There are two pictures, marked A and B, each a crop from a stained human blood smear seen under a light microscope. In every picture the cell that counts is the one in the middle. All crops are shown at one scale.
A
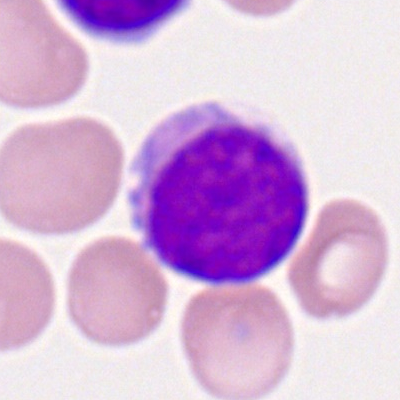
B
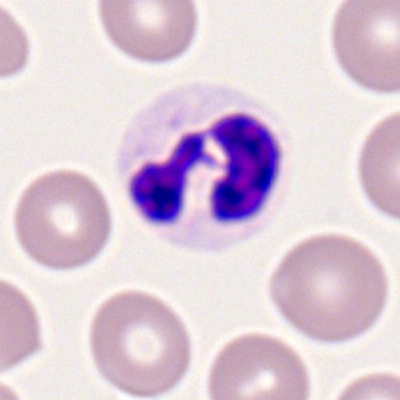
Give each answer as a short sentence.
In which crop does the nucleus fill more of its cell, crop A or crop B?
The nucleus fills more of the cell in crop A than in crop B.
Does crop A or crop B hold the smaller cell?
It is the cell in crop B; the cell in crop A has about 3 times its area.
